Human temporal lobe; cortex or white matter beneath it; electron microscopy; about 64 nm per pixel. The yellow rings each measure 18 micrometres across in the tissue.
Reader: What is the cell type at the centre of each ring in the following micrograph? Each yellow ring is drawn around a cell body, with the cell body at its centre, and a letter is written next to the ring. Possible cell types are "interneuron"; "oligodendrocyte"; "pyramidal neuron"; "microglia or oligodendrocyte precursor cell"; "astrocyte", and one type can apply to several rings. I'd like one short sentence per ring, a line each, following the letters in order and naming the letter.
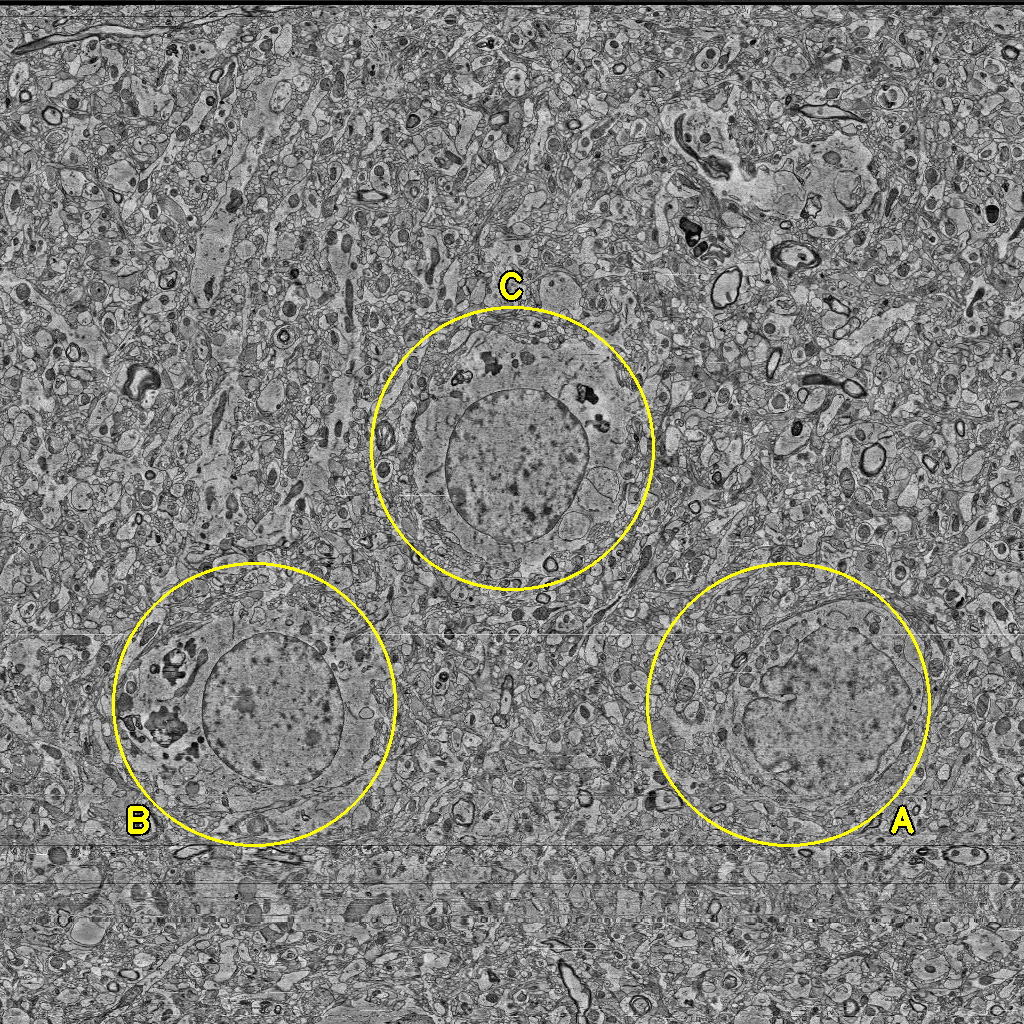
The cell body at the centre of ring A is that of an interneuron.
The cell body at the centre of ring B is that of an astrocyte.
The cell body at the centre of ring C is that of an astrocyte.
